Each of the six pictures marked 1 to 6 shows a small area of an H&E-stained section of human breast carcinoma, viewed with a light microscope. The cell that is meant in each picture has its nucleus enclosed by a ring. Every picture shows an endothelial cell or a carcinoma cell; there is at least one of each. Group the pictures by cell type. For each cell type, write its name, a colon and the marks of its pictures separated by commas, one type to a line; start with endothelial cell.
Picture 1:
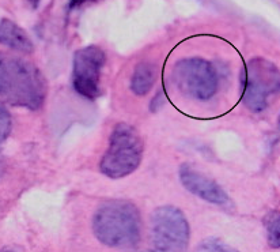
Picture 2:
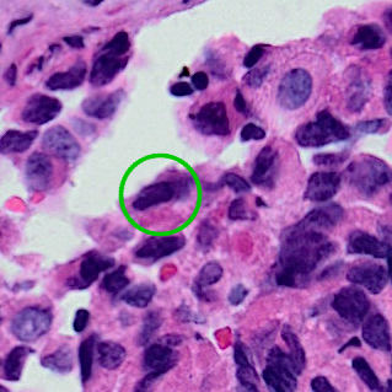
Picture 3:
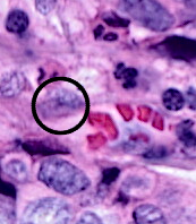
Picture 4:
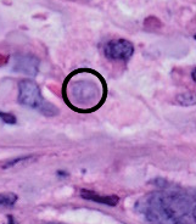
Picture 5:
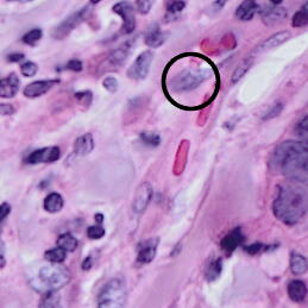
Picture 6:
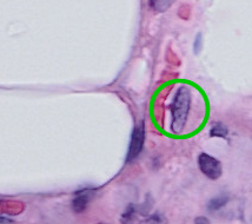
endothelial cell: 3, 4, 5, 6
carcinoma cell: 1, 2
